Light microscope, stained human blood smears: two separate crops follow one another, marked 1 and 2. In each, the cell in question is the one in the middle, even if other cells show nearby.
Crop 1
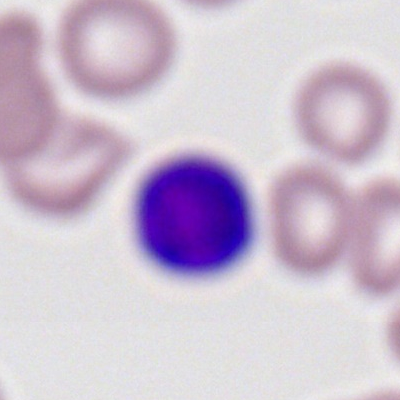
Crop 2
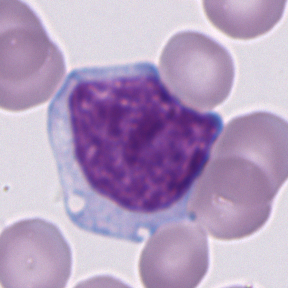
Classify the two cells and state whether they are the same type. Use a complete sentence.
No, a lymphocyte is depicted by crop 1, a blast by crop 2.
